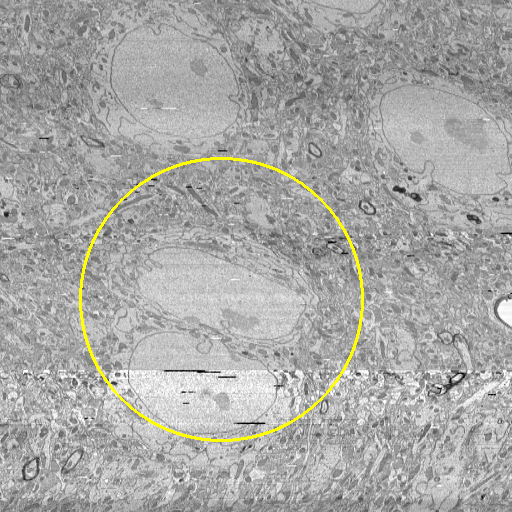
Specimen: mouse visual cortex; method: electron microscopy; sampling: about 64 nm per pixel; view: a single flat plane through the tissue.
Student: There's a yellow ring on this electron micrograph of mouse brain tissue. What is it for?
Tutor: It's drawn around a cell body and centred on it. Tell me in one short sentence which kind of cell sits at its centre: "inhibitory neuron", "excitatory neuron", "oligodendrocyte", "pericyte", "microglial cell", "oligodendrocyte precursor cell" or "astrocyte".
The cell at the centre of the ring is an inhibitory neuron.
